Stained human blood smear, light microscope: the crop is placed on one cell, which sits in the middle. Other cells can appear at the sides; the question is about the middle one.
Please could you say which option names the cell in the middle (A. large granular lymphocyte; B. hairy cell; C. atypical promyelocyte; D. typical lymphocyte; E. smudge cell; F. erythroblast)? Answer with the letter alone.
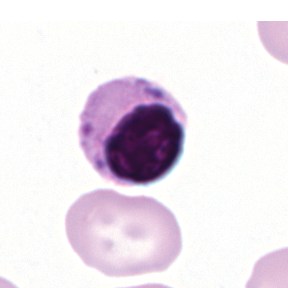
F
